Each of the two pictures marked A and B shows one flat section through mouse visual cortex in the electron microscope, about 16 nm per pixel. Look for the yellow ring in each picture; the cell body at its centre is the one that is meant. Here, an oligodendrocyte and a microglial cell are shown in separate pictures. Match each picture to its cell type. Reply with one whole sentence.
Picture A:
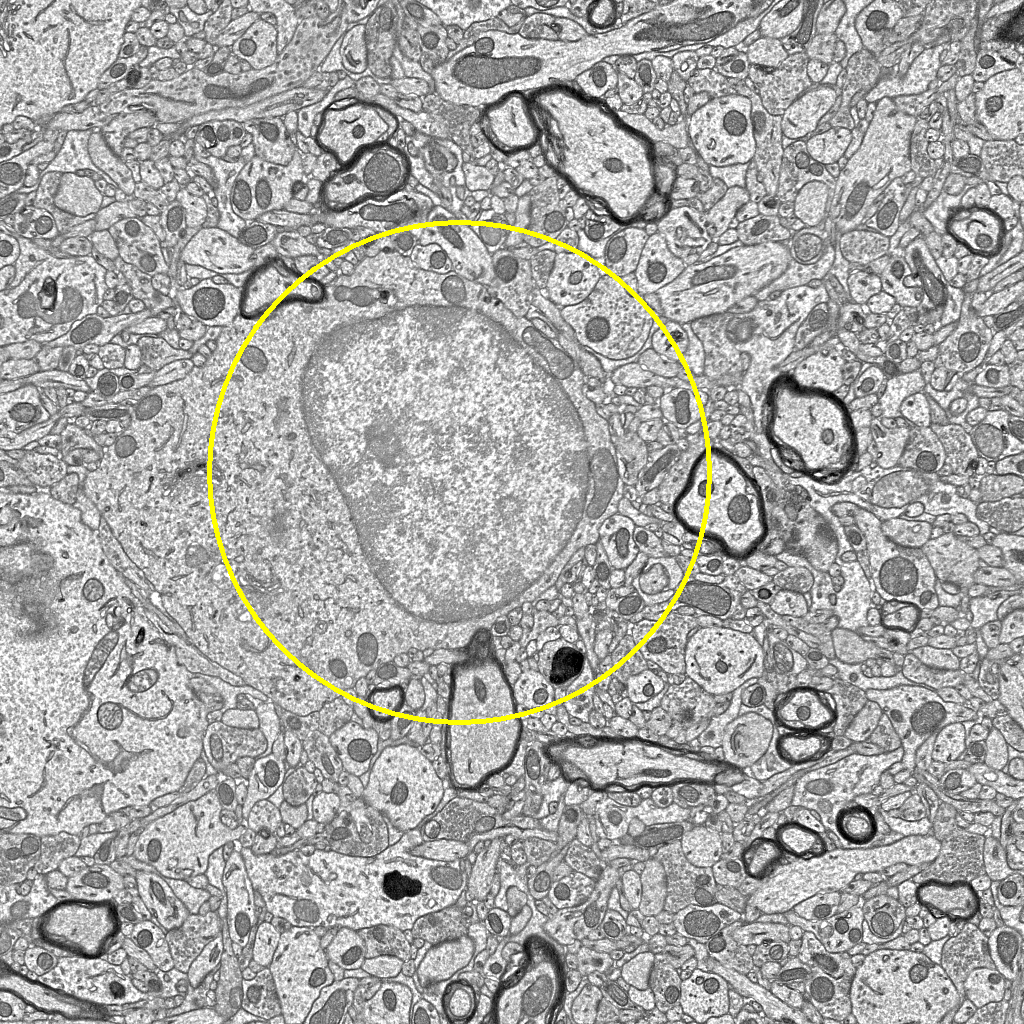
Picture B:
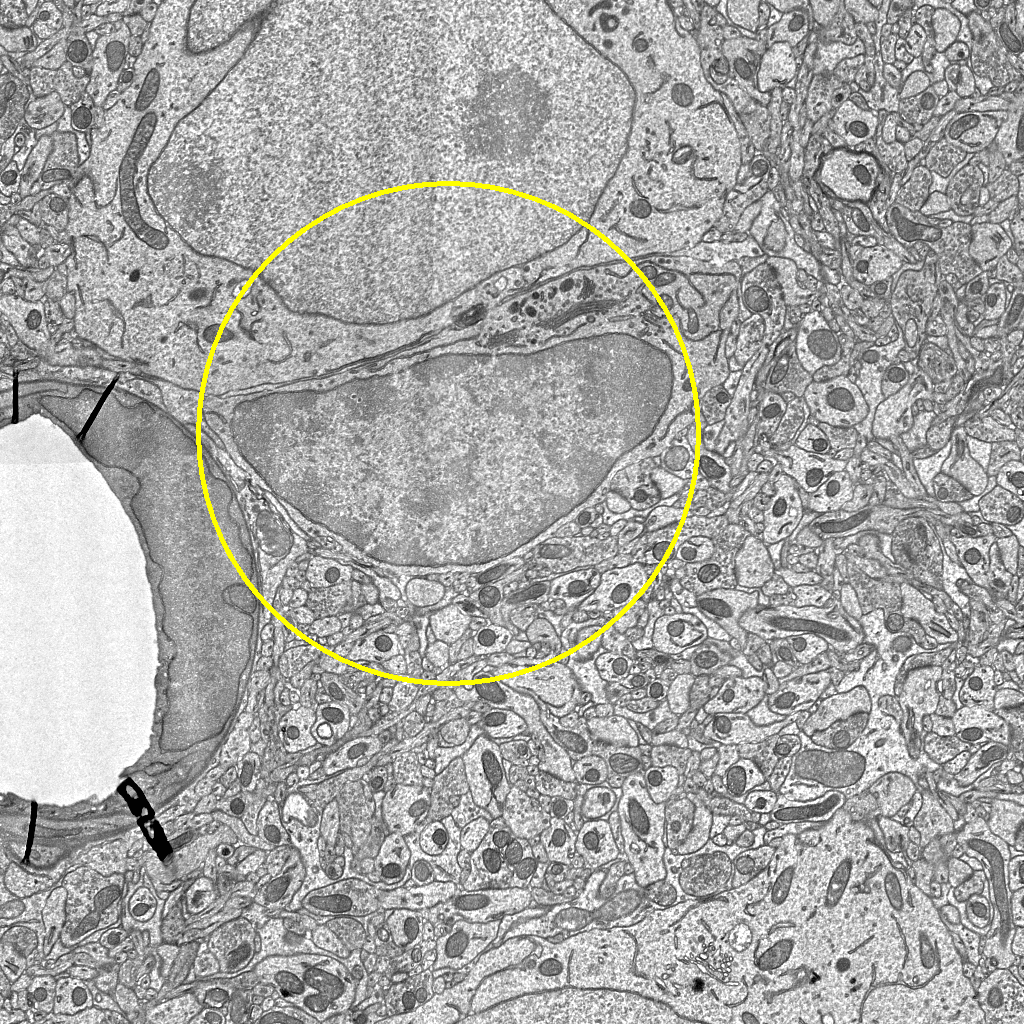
Picture A is of an oligodendrocyte, and picture B is of a microglial cell.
